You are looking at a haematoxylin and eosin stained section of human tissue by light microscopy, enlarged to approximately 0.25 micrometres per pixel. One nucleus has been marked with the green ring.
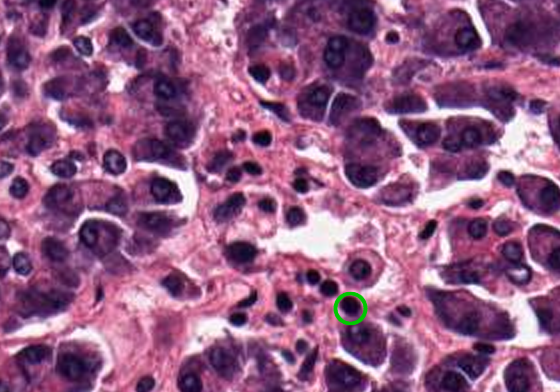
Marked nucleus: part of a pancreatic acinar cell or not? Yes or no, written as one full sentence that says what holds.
No, the marked nucleus forms part of a supporting cell instead of a pancreatic acinar cell.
